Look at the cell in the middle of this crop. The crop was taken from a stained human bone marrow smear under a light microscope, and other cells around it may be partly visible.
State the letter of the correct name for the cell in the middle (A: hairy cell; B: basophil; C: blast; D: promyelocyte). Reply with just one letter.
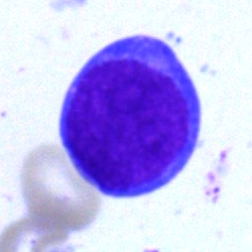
C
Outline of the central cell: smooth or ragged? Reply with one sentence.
Smooth edges only, with no spikes, blebs, or other projections.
